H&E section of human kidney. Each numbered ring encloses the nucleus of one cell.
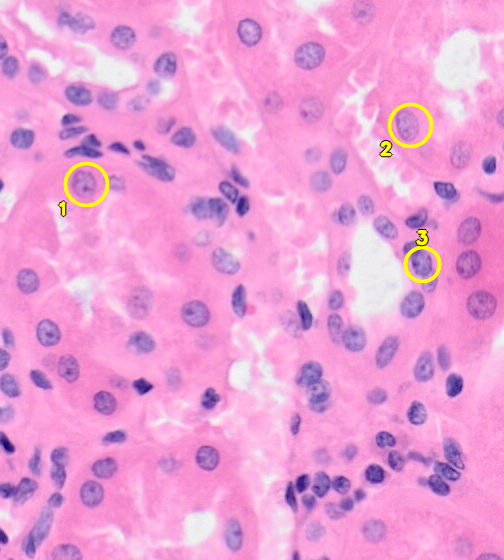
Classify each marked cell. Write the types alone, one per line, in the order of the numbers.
proximal tubule cell
proximal tubule cell
collecting duct cell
